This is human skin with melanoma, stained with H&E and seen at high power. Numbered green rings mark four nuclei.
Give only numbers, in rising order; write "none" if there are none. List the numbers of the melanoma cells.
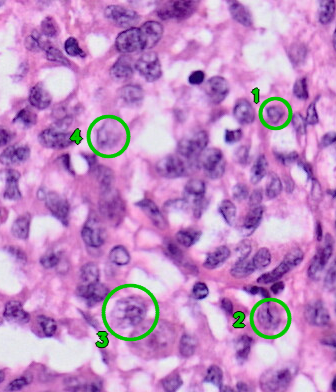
2, 3, 4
